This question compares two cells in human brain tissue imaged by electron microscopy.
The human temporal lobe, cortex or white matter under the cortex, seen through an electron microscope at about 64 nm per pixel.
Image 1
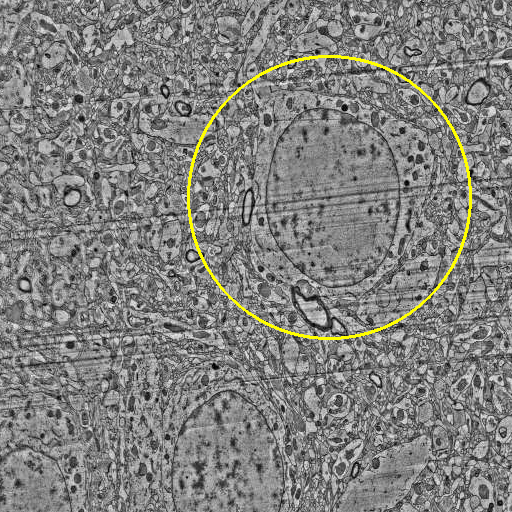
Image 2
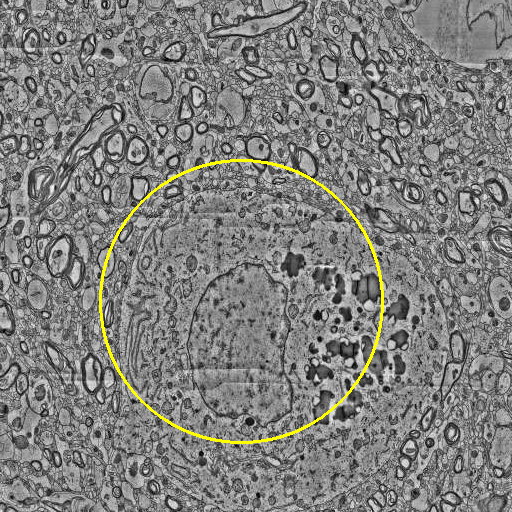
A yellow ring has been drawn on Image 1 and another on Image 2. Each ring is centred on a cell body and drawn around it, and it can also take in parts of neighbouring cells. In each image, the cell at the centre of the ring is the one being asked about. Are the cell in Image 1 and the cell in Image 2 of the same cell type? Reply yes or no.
yes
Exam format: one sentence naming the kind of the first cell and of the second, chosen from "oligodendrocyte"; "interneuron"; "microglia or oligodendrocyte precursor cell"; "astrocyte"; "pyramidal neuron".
In the first picture and in the second, the ring is centred on a pyramidal neuron.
